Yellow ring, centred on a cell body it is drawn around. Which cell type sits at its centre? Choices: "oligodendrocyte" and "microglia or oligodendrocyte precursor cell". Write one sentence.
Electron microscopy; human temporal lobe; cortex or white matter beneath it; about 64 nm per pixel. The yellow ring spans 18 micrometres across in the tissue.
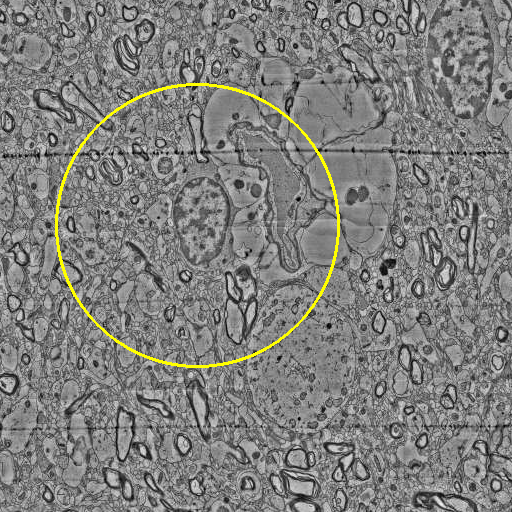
At the centre of the ring sits an oligodendrocyte.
